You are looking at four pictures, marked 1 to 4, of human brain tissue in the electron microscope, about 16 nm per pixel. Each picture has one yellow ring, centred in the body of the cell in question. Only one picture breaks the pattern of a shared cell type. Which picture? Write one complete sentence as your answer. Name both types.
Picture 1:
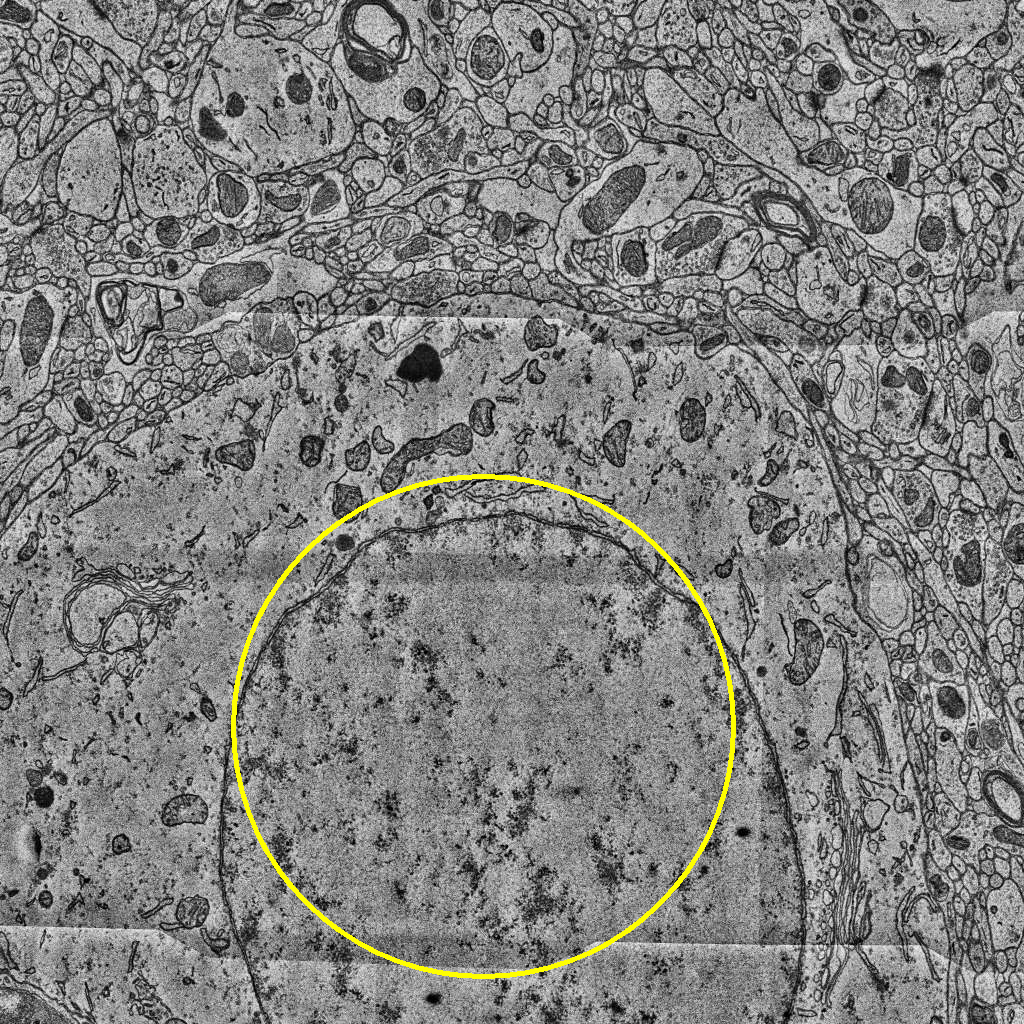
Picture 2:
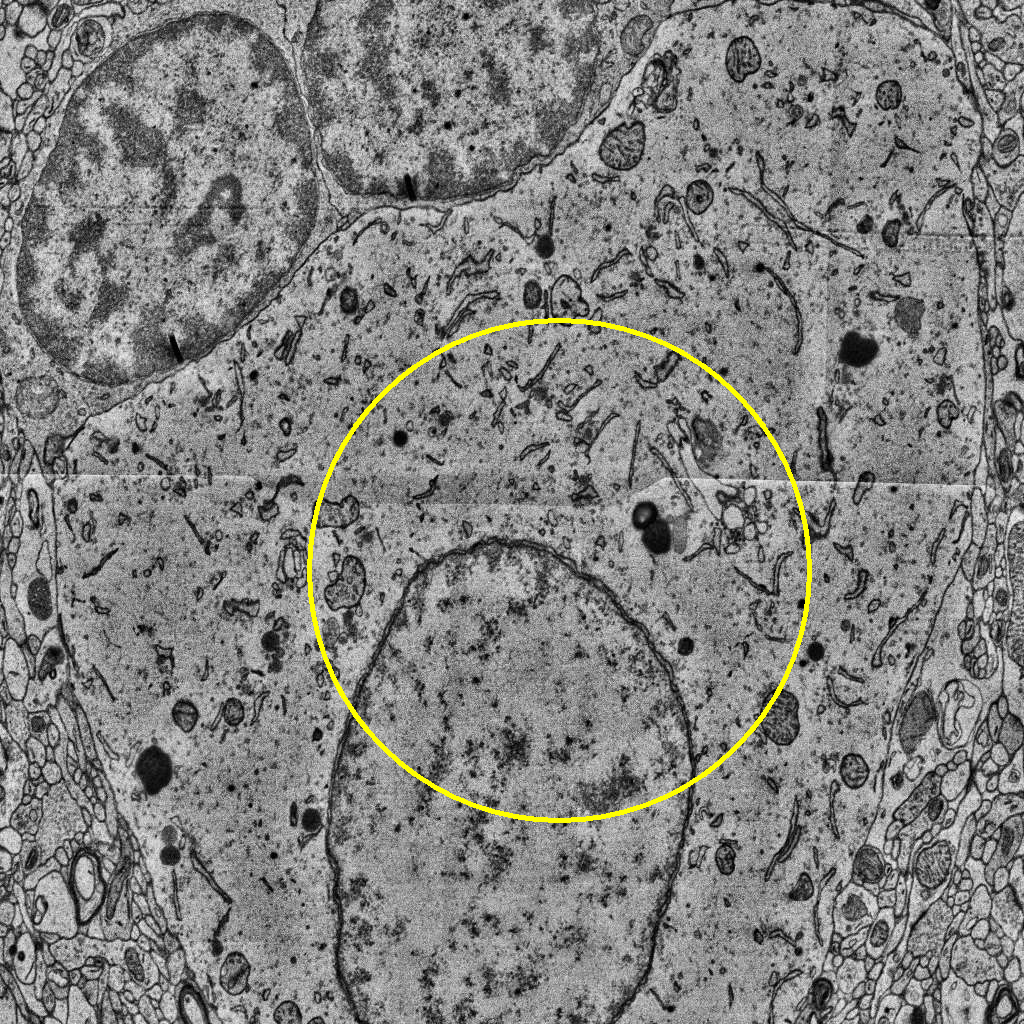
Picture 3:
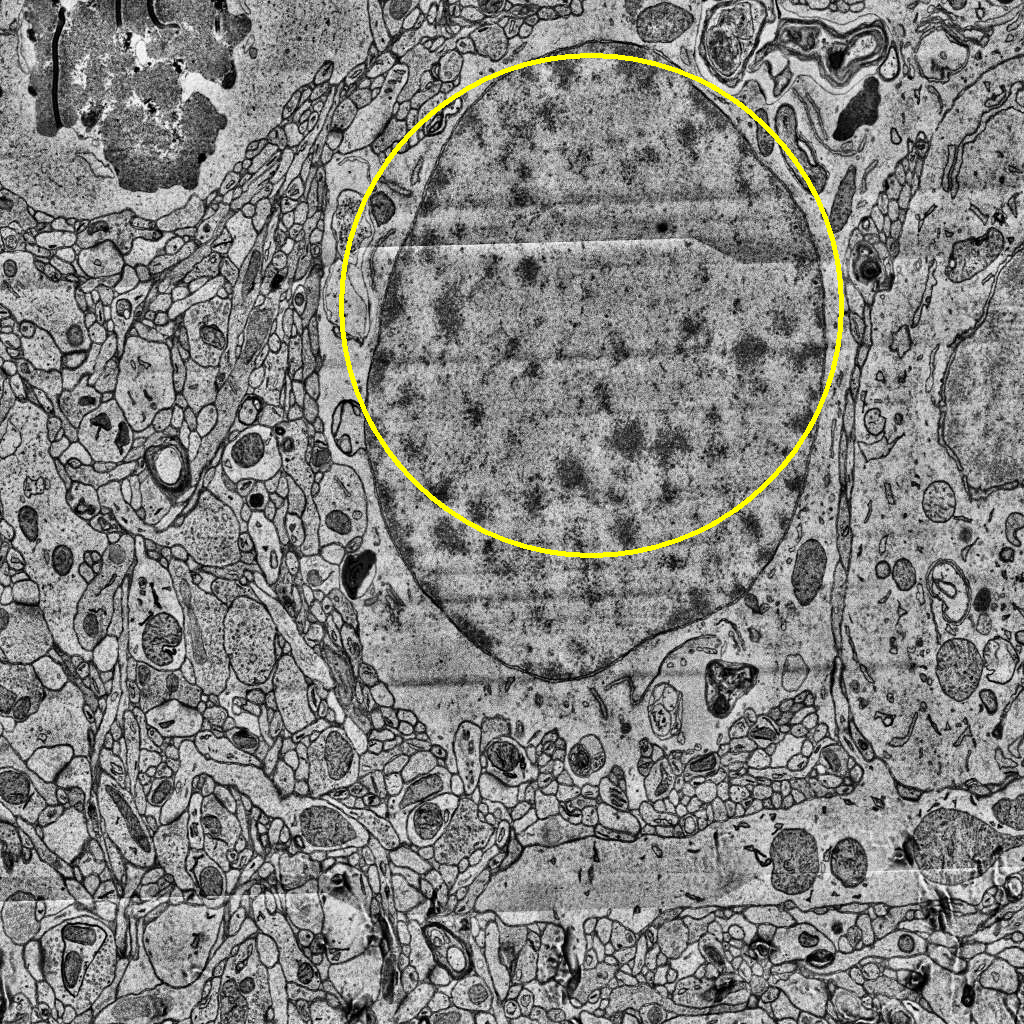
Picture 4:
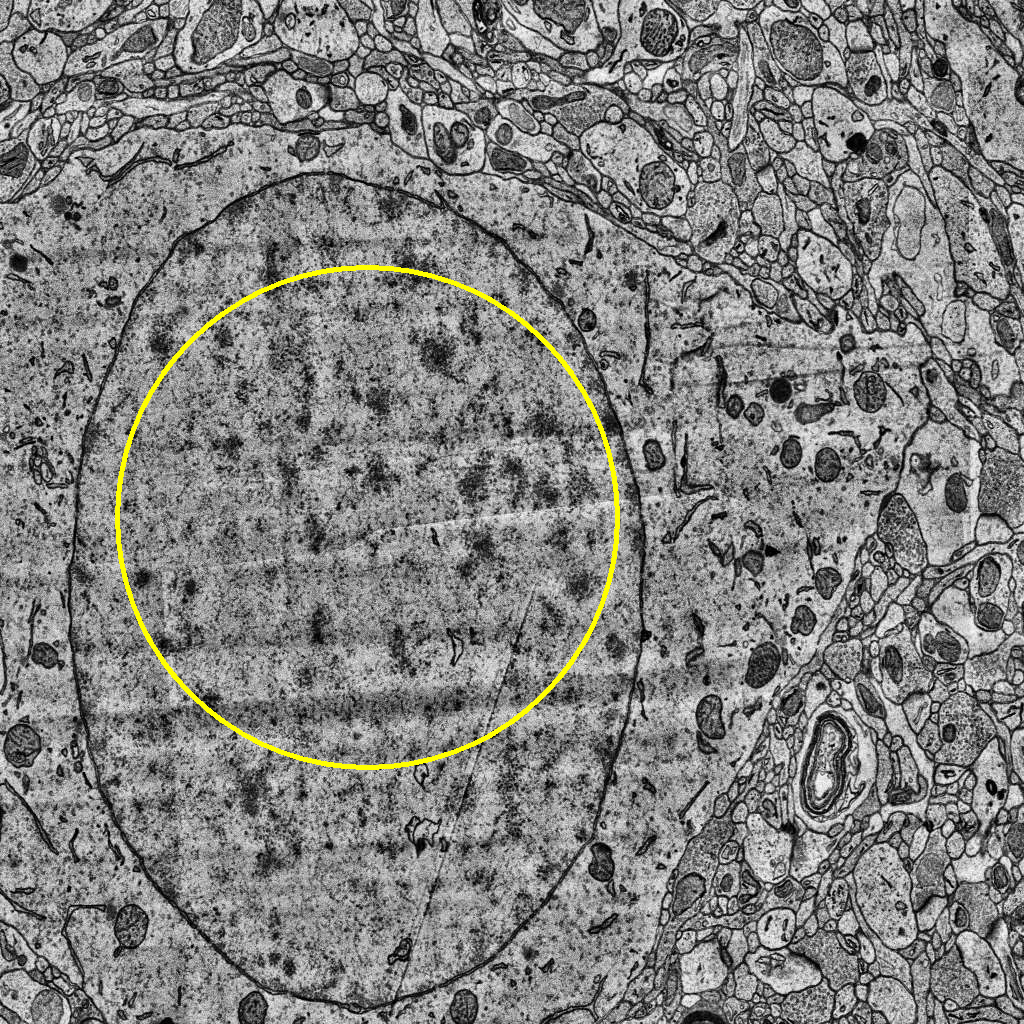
Picture 3 differs, because its cell is an astrocyte and the rest are pyramidal neurons.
